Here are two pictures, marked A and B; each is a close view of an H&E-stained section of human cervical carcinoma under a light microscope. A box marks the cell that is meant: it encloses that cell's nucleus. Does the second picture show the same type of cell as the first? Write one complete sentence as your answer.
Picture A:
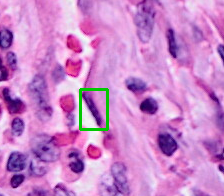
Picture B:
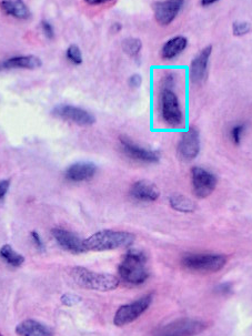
No. Picture A shows an endothelial cell, but picture B shows a fibroblast.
